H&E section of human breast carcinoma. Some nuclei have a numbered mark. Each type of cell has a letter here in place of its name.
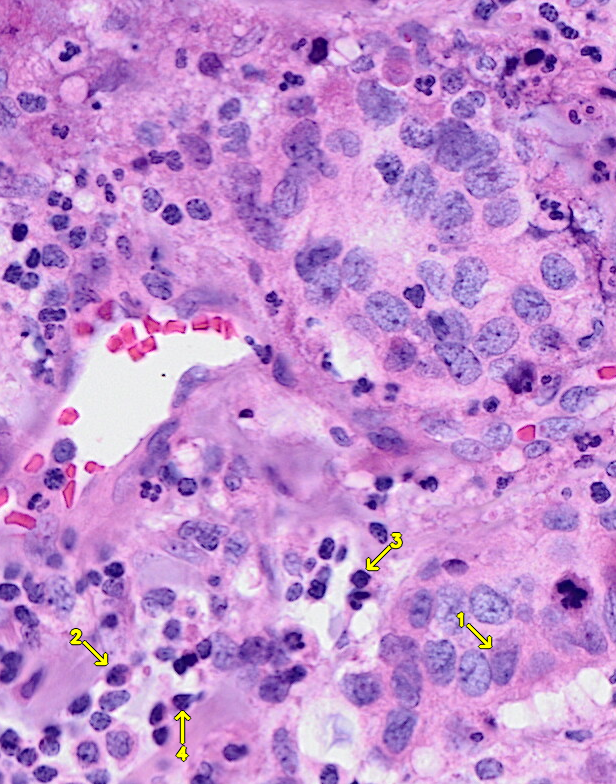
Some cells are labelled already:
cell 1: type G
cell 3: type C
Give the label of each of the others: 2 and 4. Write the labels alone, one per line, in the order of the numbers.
type C
type C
